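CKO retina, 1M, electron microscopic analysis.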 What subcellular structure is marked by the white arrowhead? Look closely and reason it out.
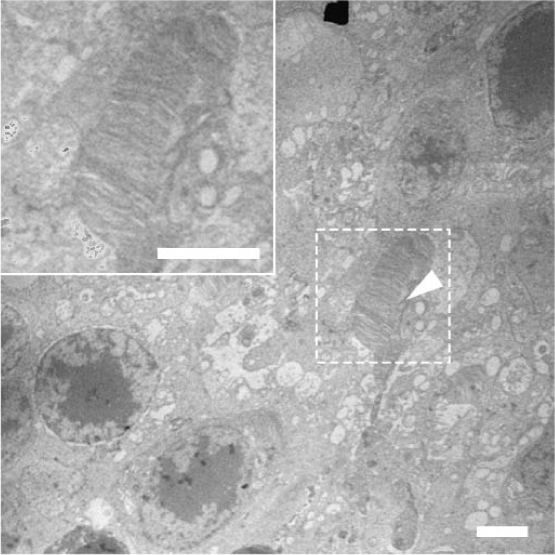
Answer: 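Inside the dashed box lies a small cluster of closely stacked parallel membranes. The enlarged inset shows the stacked lamellae at higher magnification.
Outer segment disc structure.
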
